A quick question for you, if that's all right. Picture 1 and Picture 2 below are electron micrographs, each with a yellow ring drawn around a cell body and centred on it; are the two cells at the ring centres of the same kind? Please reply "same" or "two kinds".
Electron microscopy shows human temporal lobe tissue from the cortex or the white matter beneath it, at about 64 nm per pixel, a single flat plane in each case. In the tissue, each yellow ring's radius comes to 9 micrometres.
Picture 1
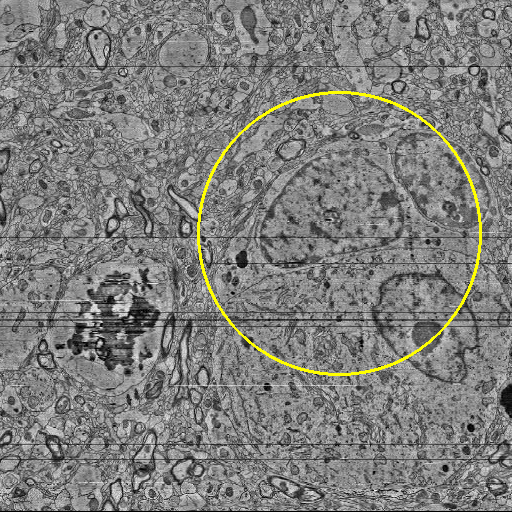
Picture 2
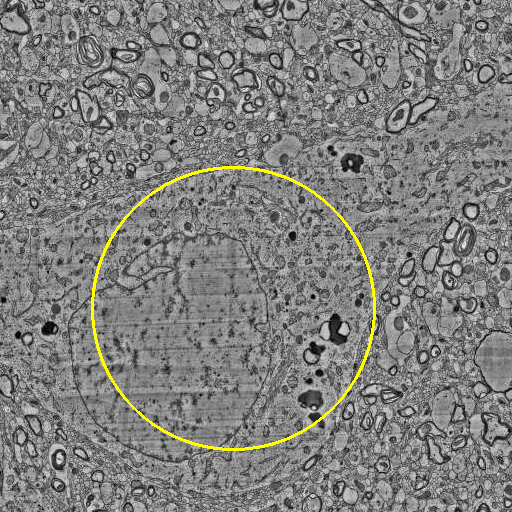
two kinds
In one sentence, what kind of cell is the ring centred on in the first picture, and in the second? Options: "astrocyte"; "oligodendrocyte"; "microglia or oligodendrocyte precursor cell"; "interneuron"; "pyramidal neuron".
The cell at the centre of the second ring is a pyramidal neuron; the first ring's cell is a microglial cell or oligodendrocyte precursor cell.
